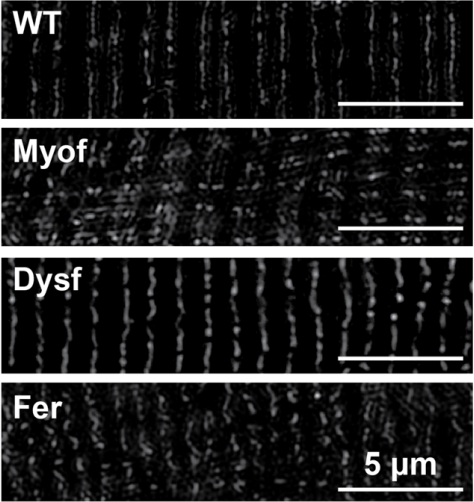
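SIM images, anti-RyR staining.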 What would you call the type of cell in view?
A: myofiber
